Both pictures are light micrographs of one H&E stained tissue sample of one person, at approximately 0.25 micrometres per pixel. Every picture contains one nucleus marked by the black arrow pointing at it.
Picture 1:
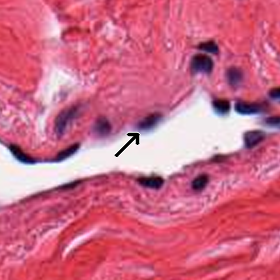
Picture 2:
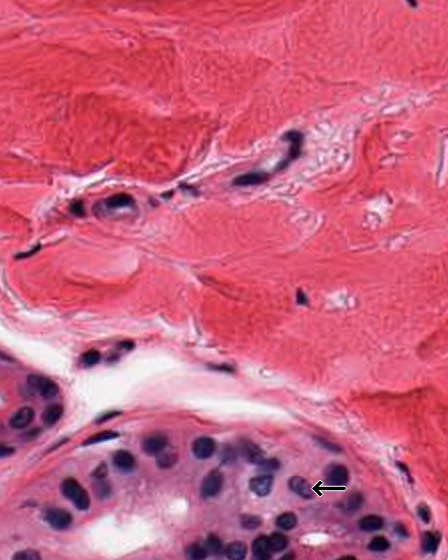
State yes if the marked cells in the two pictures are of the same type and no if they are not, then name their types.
No, the first is an endothelial cell and the second a sweat gland cell.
